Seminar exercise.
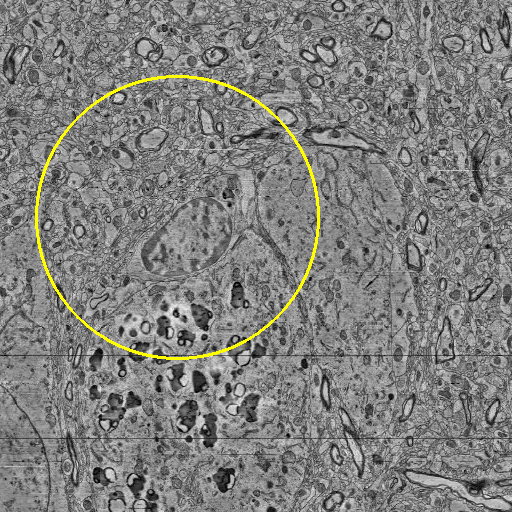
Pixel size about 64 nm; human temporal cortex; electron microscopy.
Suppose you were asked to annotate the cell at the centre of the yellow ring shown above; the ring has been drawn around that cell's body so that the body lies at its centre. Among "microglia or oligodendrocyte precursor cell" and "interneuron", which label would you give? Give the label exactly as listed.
microglia or oligodendrocyte precursor cell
